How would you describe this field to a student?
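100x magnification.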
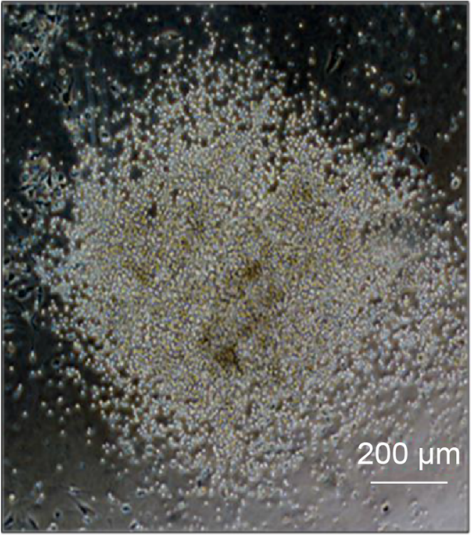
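Towards the edge the cells become sparser and lie singly on the dish. Almost none of the cells have flattened or spread out into elongated shapes.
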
